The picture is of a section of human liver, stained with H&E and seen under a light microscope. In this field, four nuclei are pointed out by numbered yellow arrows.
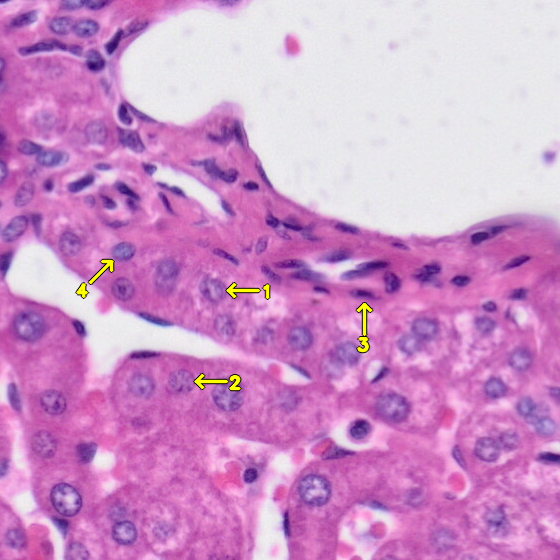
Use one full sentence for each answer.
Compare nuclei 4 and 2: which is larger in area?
At about 1.5 times the area of nucleus 4, nucleus 2 is the larger of the two.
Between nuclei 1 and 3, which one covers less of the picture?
Number 3 is smaller, since number 1 takes up about 3 times as much area.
